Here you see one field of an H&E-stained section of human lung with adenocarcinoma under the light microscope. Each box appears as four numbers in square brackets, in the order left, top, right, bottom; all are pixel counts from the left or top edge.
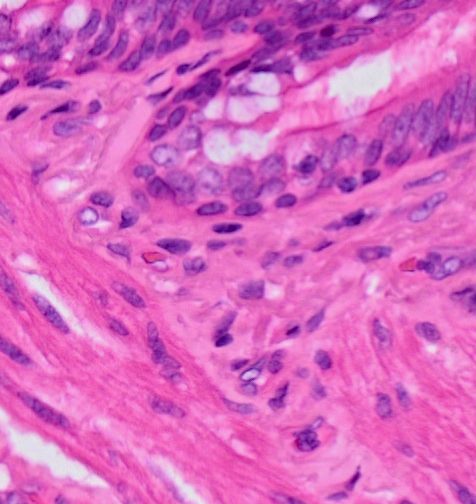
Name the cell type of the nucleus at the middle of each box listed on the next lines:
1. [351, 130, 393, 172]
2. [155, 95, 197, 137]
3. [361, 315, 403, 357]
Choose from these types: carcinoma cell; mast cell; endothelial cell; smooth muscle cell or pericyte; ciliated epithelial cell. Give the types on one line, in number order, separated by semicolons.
ciliated epithelial cell; ciliated epithelial cell; smooth muscle cell or pericyte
